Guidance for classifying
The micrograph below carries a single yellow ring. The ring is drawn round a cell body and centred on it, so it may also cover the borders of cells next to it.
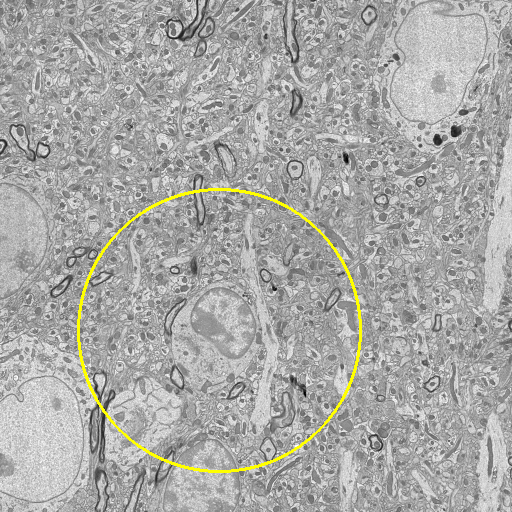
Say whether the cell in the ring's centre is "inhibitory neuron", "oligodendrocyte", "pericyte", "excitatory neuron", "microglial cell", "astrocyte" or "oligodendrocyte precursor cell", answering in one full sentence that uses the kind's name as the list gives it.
Within the yellow ring, an oligodendrocyte is the cell whose body sits at the centre.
